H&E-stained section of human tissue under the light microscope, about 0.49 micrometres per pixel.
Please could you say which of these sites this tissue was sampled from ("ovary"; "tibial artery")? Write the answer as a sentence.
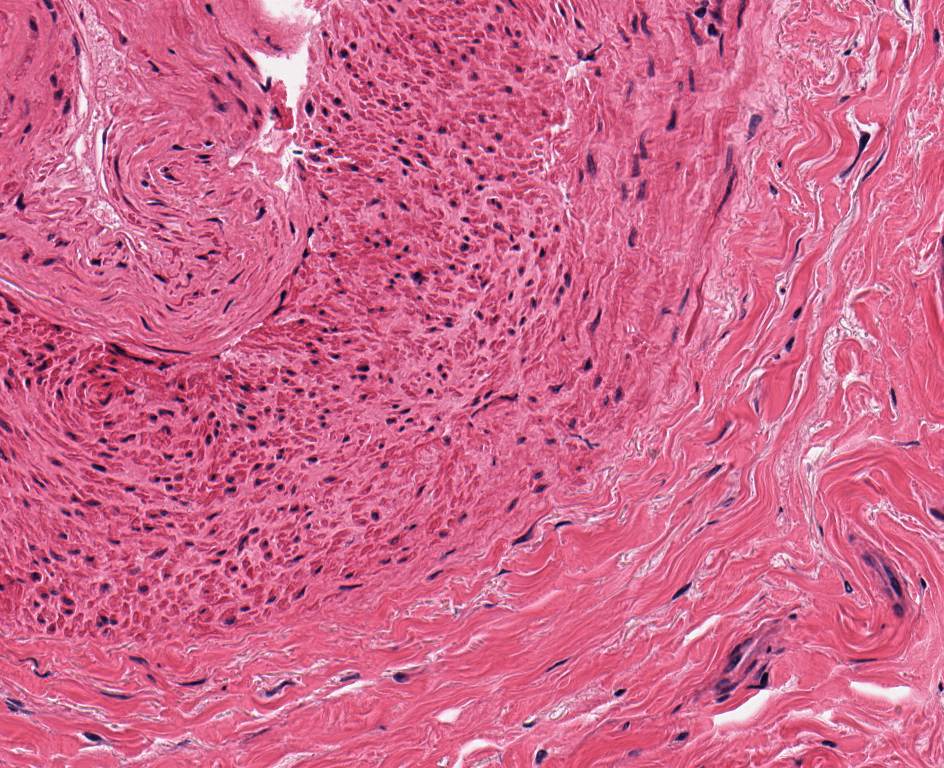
The site this tissue was sampled from is the tibial artery.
